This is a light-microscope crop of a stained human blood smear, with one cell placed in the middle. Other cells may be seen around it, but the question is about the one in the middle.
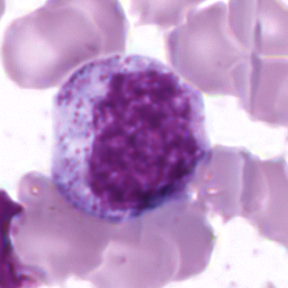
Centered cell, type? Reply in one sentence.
The crop shows a myelocyte in its centre.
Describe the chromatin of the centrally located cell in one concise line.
The chromatin of this one is coarsely clumped.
